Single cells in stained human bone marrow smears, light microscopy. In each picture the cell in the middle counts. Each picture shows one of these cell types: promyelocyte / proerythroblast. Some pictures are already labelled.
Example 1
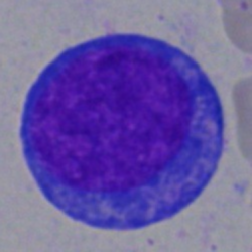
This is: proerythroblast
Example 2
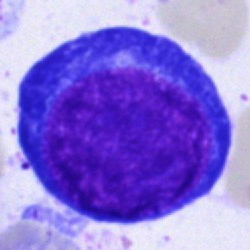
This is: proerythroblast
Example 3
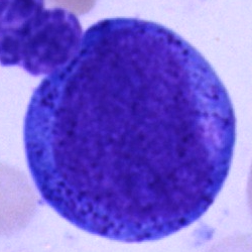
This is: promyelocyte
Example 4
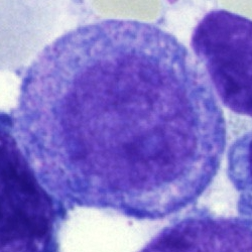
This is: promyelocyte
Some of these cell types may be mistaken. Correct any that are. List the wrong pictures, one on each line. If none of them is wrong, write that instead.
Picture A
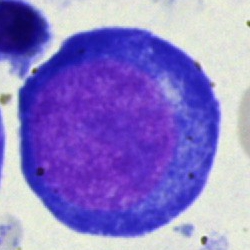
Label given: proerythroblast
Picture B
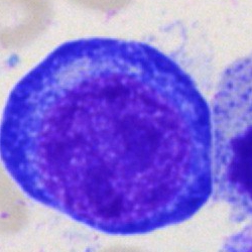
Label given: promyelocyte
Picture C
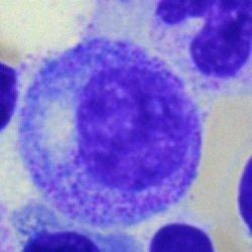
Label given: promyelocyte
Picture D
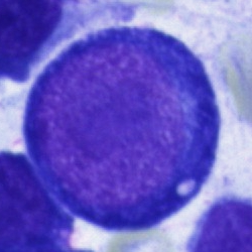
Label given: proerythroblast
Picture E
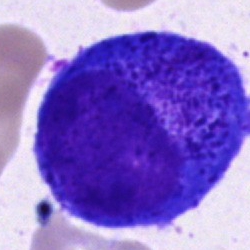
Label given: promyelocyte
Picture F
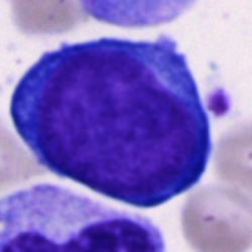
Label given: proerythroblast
B: change promyelocyte to proerythroblast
